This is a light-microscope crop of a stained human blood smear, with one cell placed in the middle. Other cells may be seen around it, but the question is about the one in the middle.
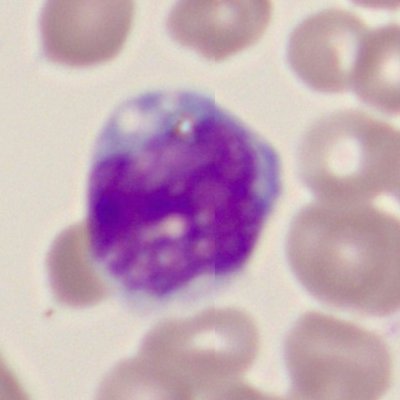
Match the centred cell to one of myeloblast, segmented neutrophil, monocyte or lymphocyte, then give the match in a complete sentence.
For this crop, the central cell is a monocyte.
